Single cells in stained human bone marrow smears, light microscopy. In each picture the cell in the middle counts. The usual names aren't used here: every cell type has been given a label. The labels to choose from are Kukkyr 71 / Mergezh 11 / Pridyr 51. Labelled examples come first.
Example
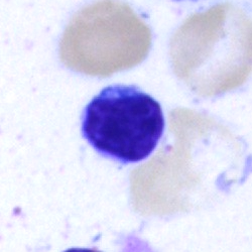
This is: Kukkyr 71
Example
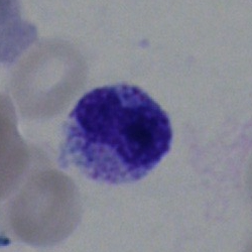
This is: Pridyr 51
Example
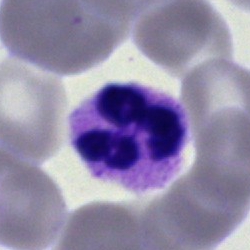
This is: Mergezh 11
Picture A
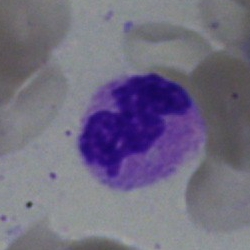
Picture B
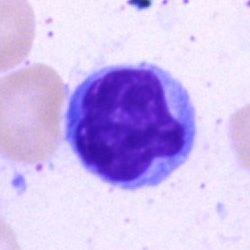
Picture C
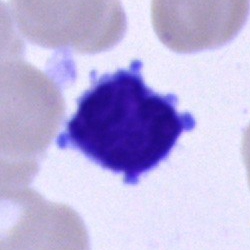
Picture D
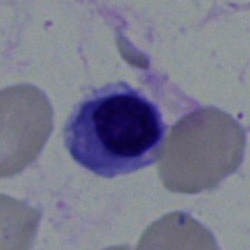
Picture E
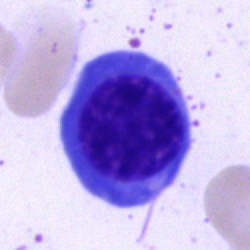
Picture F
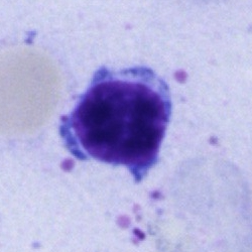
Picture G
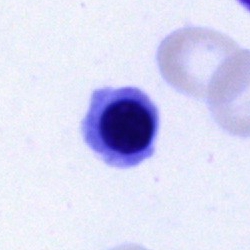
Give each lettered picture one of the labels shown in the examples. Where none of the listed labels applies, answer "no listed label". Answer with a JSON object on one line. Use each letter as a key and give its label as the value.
{"A": "Mergezh 11", "B": "Kukkyr 71", "C": "Kukkyr 71", "D": "no listed label", "E": "no listed label", "F": "Kukkyr 71", "G": "no listed label"}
